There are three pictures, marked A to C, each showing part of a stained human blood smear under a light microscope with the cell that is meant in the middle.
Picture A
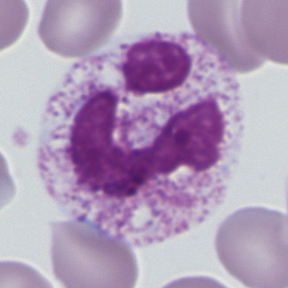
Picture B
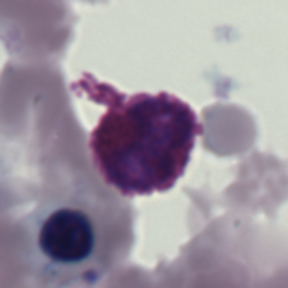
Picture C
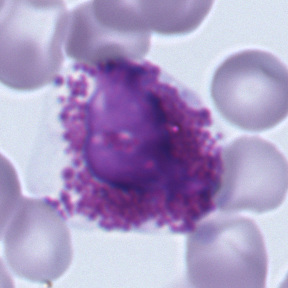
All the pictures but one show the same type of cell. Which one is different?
A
